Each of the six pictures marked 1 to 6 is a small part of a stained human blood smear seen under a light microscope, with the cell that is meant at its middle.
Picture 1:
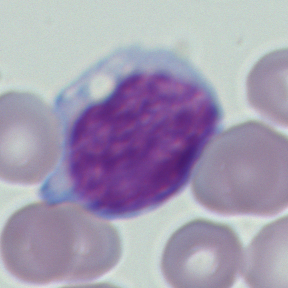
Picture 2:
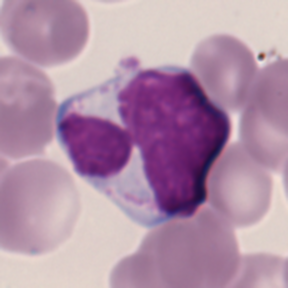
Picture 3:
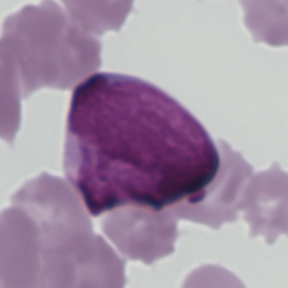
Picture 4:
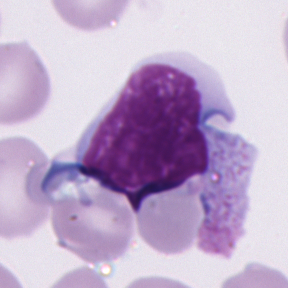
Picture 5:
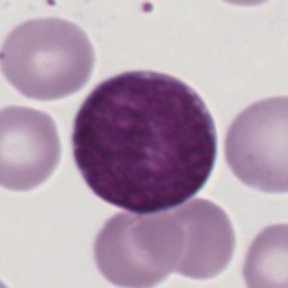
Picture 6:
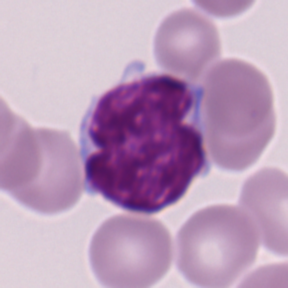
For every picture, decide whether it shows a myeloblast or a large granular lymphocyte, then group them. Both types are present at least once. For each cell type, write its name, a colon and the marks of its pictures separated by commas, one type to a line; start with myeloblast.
myeloblast: 1, 3, 5
large granular lymphocyte: 2, 4, 6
